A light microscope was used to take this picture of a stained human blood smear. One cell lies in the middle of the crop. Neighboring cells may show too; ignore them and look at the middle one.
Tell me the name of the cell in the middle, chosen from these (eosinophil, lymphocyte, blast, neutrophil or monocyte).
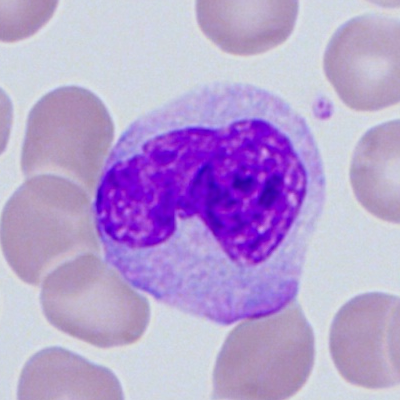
monocyte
